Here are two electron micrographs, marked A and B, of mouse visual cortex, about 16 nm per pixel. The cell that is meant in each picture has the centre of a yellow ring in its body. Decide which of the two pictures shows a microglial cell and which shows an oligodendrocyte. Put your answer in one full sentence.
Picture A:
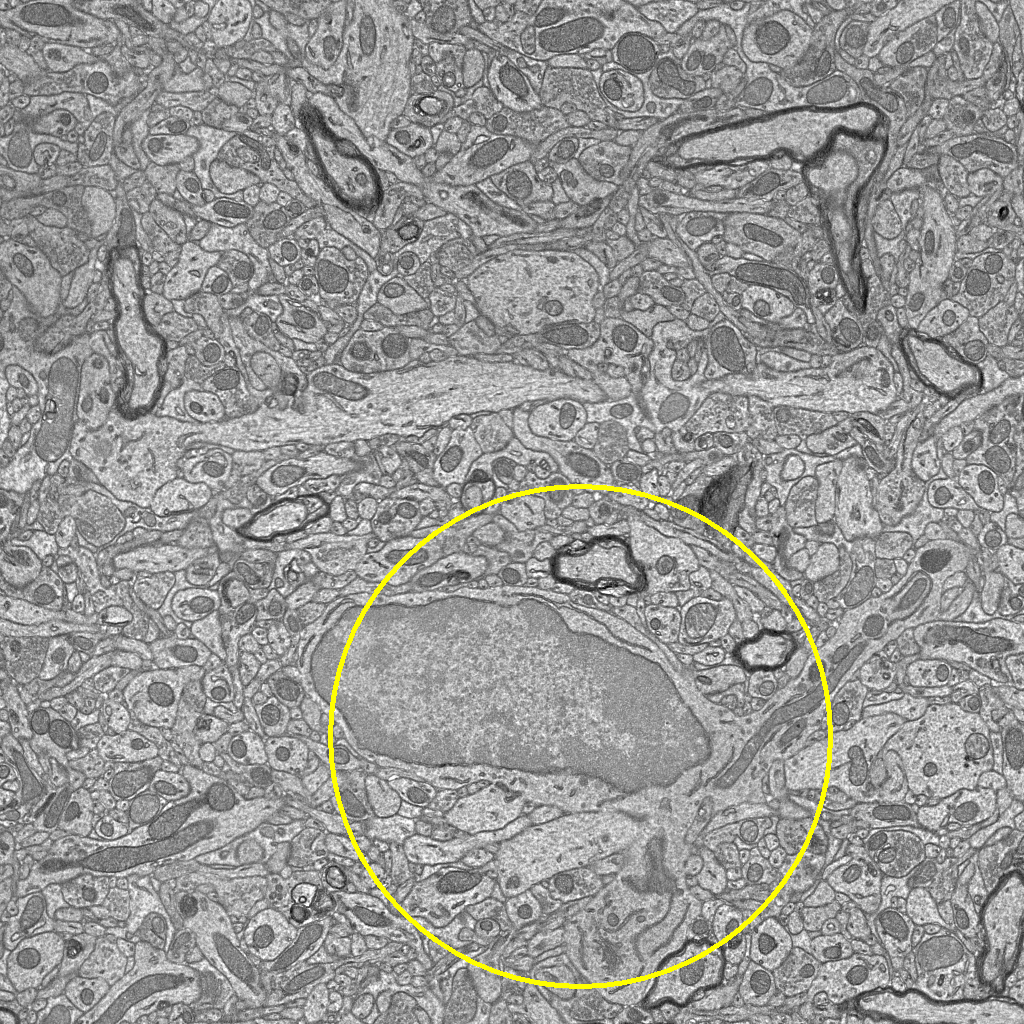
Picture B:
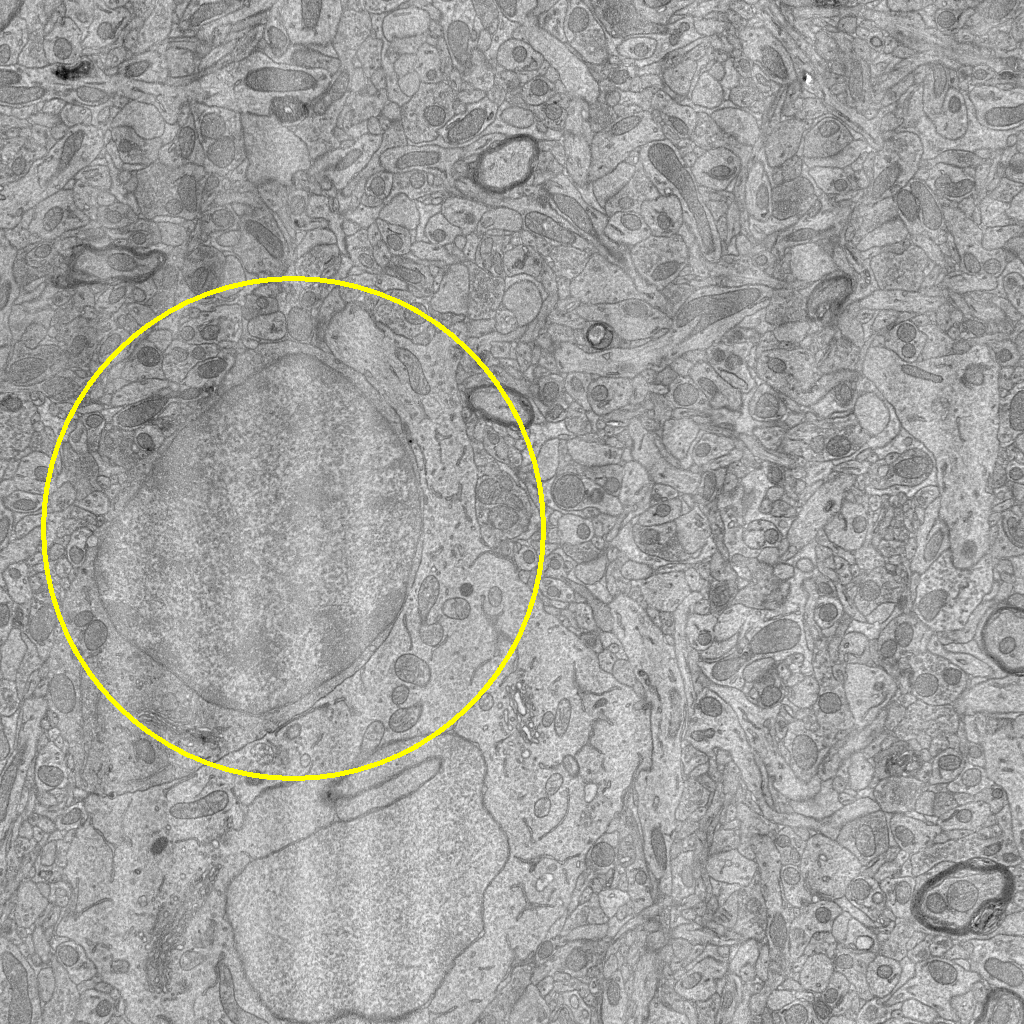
The cell in picture A is a microglial cell, and the one in picture B is an oligodendrocyte.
